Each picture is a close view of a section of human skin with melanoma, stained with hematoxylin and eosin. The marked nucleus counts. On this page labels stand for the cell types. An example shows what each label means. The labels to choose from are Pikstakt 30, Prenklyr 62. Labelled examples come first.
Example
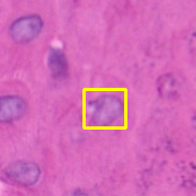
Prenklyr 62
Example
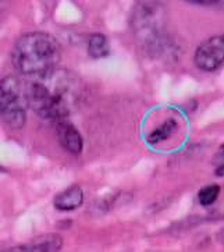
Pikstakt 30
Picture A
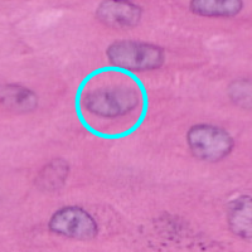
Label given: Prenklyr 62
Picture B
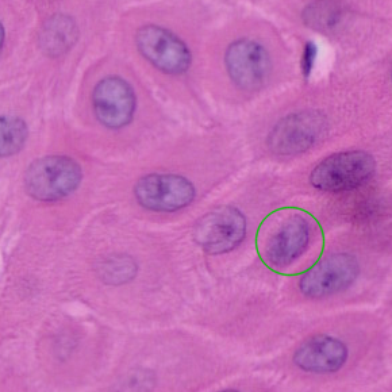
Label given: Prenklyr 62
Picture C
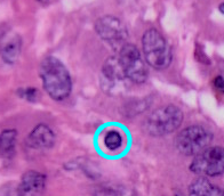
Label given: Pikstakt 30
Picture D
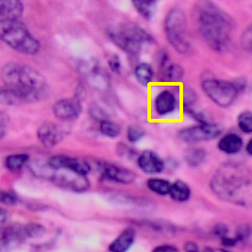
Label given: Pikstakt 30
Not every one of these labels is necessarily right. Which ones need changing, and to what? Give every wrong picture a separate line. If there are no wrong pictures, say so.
All labels are correct.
